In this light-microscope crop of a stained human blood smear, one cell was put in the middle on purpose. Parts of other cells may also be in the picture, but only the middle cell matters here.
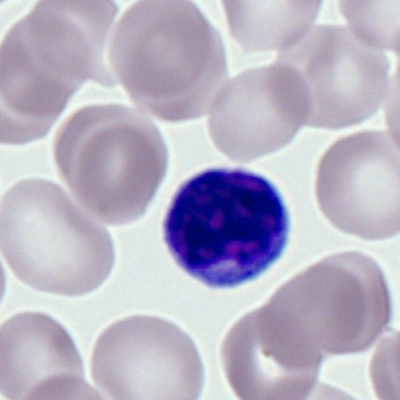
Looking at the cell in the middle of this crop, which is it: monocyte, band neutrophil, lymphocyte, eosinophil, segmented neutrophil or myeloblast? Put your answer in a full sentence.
Of the cells in this crop, the central one is a lymphocyte.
